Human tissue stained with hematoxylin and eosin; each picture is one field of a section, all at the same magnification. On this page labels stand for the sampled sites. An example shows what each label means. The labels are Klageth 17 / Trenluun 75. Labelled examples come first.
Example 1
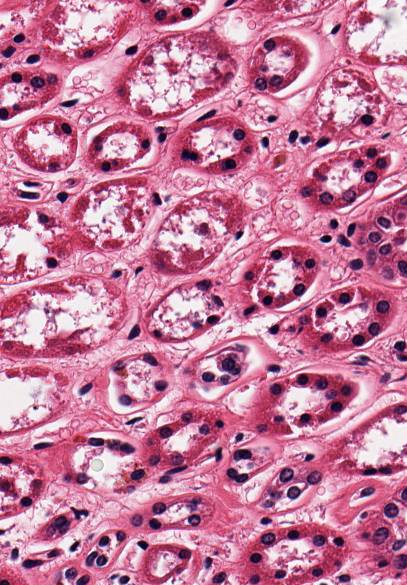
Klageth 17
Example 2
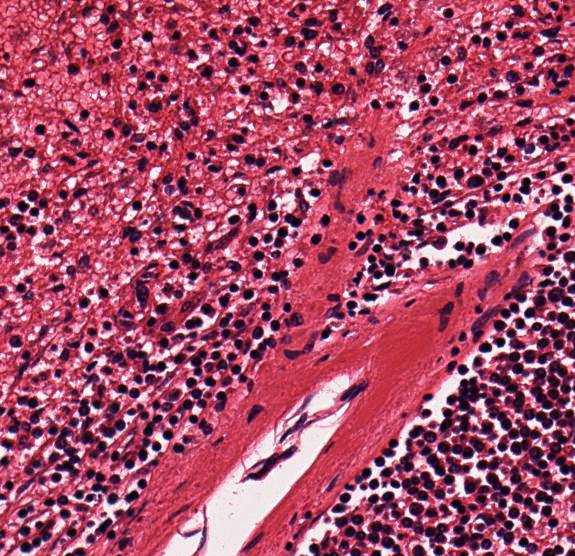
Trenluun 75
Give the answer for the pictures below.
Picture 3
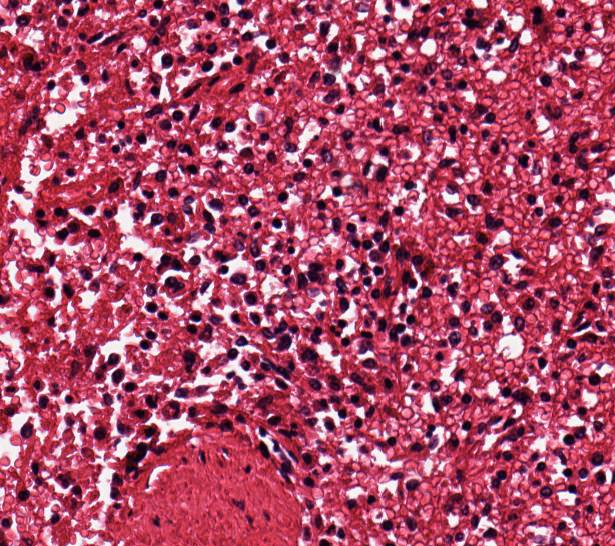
Trenluun 75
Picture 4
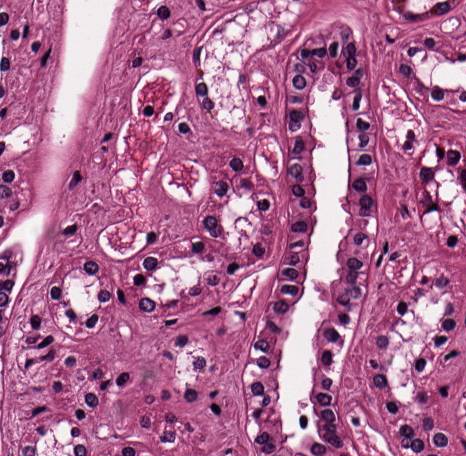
Klageth 17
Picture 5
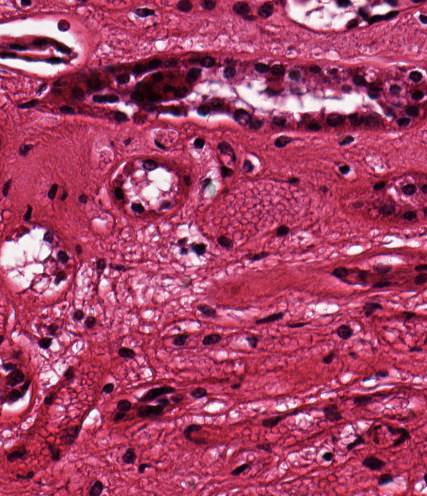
Klageth 17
